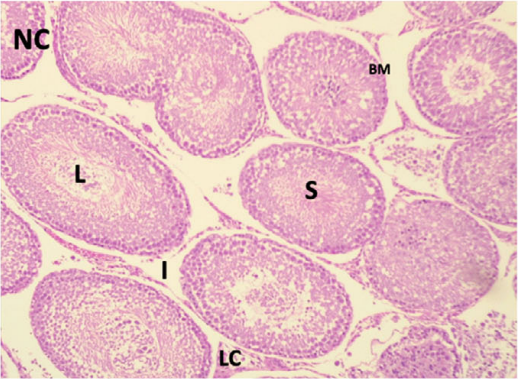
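Cross- and oblique sections of seminiferous tubules of the testis fill the field, each lined by a stratified germinal epithelium of many purple-nucleated cells resting on a thin basement membrane. The centre of most tubules forms a lumen containing pale pink fibrillar material from sperm tails. Narrow interstitial spaces separate the tubules and hold small groups of interstitial cells and thin connective tissue.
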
